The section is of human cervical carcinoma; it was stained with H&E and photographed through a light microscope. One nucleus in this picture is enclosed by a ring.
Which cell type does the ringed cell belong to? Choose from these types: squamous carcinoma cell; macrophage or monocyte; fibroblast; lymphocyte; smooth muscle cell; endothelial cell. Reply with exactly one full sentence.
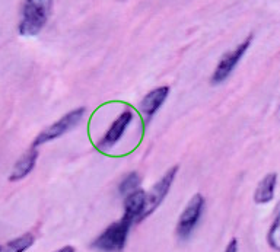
Cytologically, the ringed cell is to be regarded as a fibroblast.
